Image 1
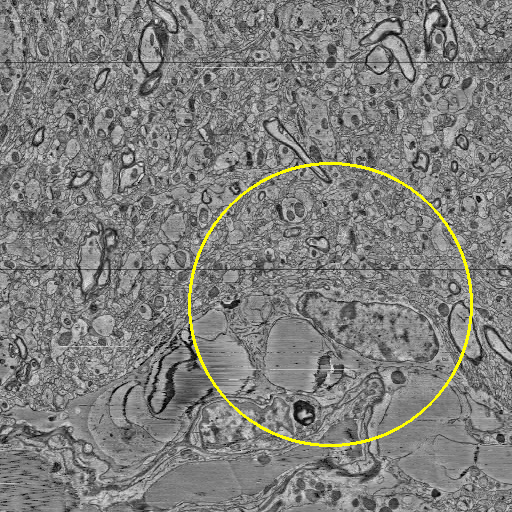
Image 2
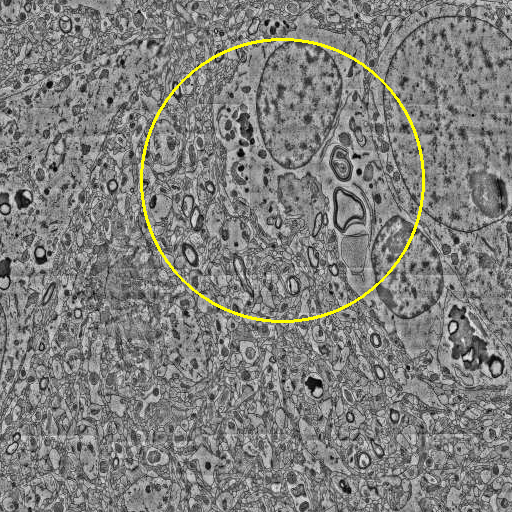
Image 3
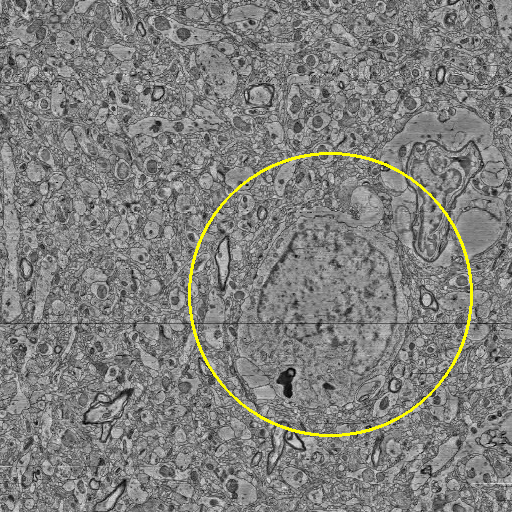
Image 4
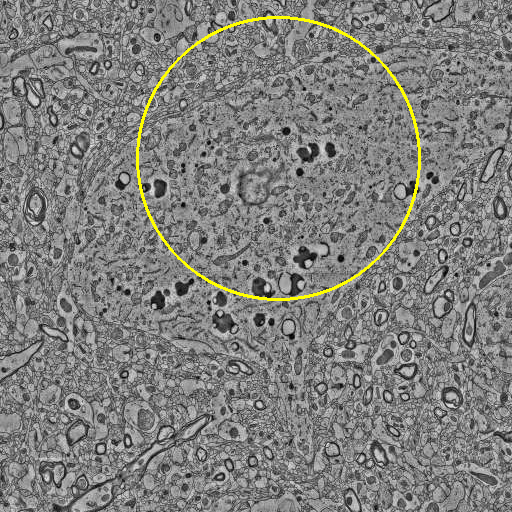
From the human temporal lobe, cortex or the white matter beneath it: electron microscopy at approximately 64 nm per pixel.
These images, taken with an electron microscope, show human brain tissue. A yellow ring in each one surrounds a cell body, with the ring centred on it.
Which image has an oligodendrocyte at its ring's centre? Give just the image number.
2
